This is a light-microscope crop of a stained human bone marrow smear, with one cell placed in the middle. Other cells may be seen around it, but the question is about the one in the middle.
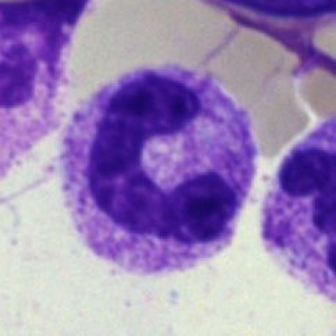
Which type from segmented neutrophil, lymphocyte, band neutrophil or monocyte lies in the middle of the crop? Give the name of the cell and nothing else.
band neutrophil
